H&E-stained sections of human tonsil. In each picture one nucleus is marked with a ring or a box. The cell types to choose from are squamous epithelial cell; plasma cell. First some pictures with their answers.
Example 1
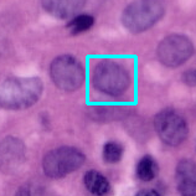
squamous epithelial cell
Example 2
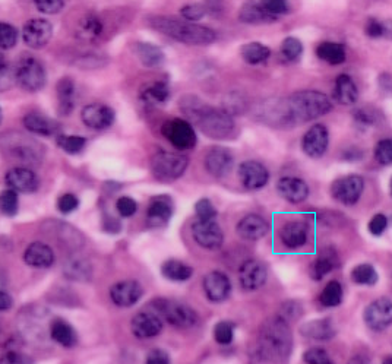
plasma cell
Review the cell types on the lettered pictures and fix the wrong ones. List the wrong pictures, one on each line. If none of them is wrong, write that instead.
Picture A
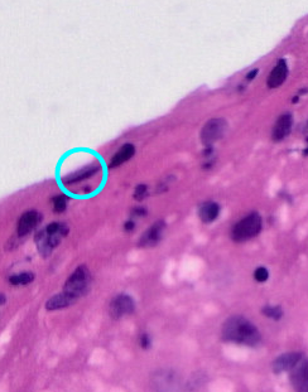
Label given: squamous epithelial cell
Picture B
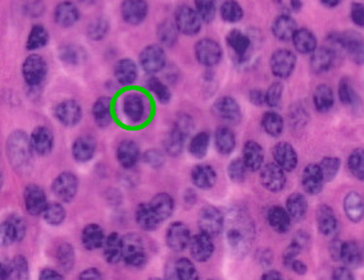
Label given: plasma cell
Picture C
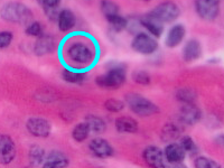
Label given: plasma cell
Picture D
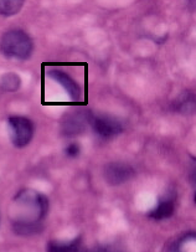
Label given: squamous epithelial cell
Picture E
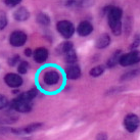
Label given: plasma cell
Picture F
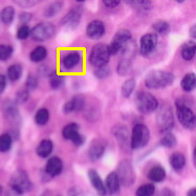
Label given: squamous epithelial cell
F: plasma cell, not squamous epithelial cell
